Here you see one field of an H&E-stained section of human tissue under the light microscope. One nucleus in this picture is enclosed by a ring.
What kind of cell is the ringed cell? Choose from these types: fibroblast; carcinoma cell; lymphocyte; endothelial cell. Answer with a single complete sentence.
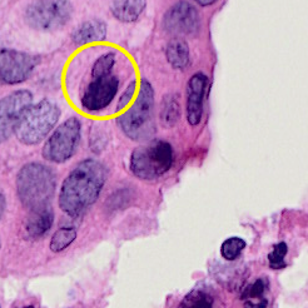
Speaking plainly, the ringed cell is nothing other than a carcinoma cell.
